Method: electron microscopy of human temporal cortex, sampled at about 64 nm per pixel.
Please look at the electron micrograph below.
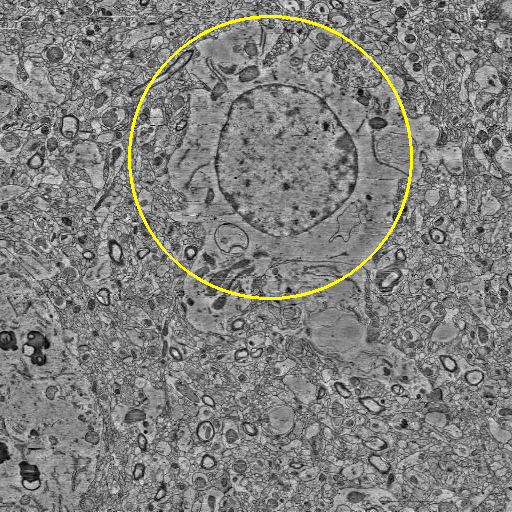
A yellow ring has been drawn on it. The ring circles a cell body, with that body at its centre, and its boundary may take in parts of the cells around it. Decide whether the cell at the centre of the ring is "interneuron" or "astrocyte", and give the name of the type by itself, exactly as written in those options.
astrocyte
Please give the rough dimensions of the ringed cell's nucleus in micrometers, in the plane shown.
In this plane, approximately 9 micrometres across.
